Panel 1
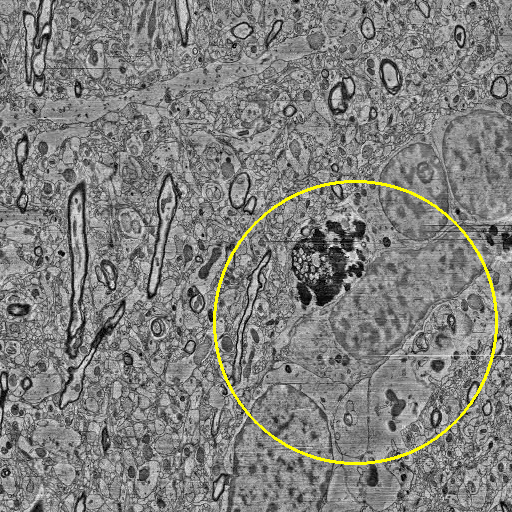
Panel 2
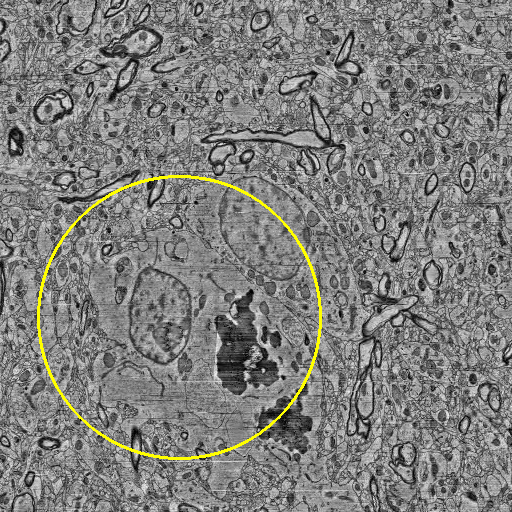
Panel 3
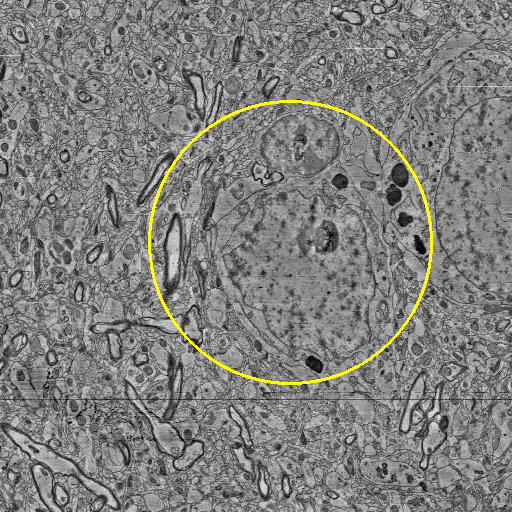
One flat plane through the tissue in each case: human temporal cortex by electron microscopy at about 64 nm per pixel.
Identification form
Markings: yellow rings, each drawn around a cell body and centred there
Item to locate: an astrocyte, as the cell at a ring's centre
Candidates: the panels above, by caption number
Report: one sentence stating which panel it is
It is Panel 2.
